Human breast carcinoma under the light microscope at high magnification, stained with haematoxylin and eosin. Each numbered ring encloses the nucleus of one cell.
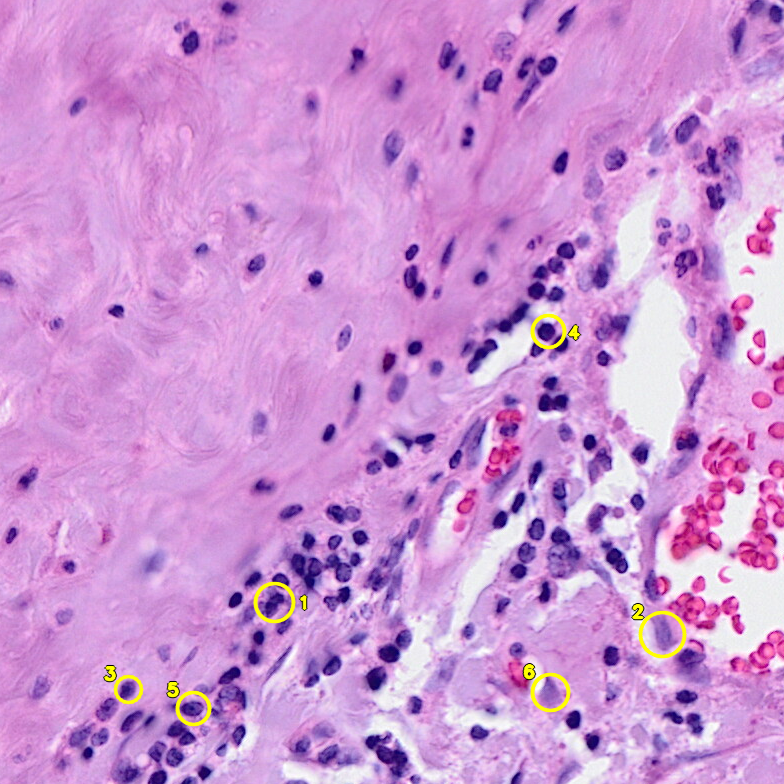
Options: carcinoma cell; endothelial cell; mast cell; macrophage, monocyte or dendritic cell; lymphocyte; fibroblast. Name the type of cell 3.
lymphocyte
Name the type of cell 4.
lymphocyte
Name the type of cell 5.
lymphocyte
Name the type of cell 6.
endothelial cell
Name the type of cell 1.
lymphocyte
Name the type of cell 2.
endothelial cell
